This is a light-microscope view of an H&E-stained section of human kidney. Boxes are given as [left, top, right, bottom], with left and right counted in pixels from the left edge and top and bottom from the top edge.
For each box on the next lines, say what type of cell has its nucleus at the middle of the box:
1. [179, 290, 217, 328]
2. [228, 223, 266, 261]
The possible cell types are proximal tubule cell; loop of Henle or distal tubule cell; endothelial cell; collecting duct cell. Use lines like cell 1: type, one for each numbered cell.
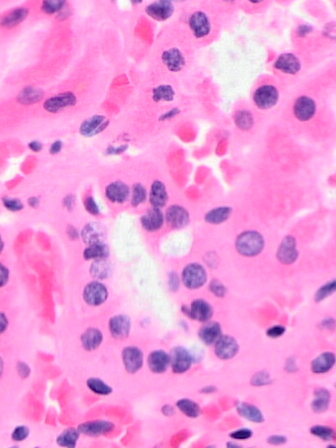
cell 1: collecting duct cell
cell 2: proximal tubule cell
